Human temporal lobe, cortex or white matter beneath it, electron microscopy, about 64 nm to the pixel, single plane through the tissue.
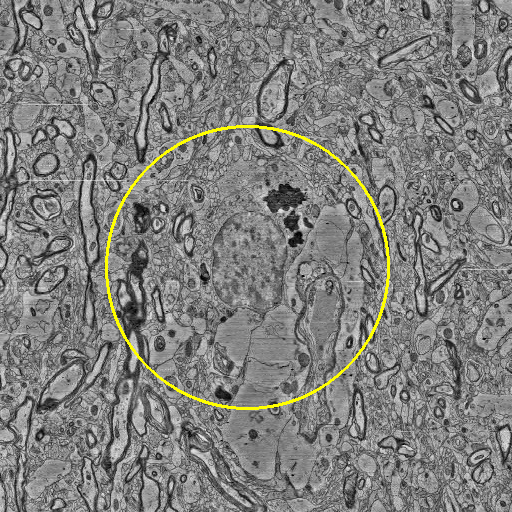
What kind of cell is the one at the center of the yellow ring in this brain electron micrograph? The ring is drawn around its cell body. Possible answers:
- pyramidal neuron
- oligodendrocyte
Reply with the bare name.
oligodendrocyte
